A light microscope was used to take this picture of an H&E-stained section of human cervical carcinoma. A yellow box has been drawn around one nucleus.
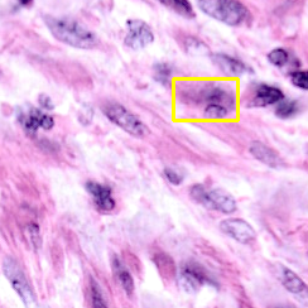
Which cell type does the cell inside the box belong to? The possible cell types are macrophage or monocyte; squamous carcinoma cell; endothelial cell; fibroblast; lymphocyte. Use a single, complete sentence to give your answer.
In this field of tissue, the cell inside the box is a macrophage or monocyte.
